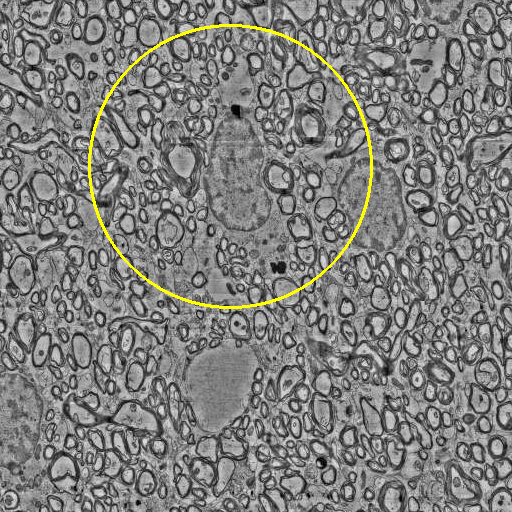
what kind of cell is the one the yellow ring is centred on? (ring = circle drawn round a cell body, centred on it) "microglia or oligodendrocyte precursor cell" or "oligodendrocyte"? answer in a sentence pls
The ring is drawn around an oligodendrocyte.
